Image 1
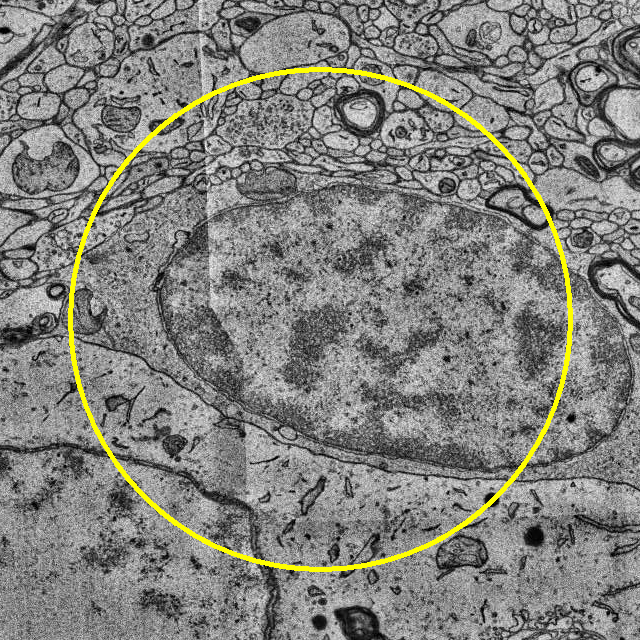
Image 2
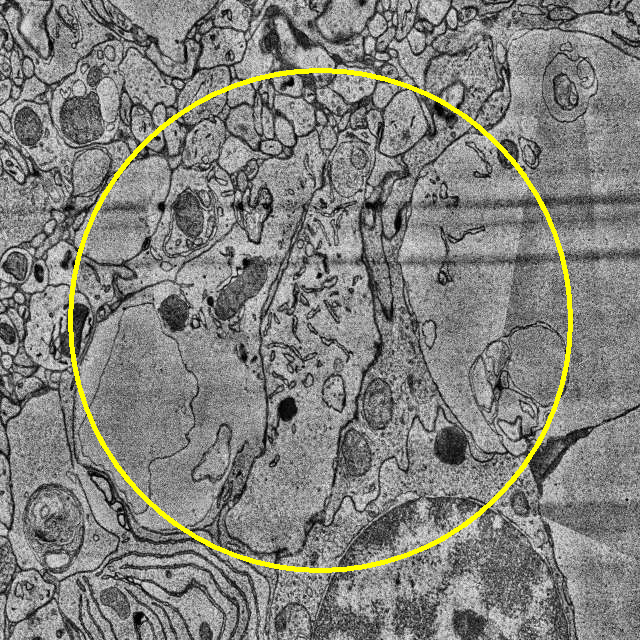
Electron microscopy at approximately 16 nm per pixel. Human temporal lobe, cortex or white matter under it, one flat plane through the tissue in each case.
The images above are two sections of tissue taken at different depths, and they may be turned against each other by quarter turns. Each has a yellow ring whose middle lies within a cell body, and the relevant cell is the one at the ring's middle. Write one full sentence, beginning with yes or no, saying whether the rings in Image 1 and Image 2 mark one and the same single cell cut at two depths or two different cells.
No, the cells within these rings are two separate cells.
